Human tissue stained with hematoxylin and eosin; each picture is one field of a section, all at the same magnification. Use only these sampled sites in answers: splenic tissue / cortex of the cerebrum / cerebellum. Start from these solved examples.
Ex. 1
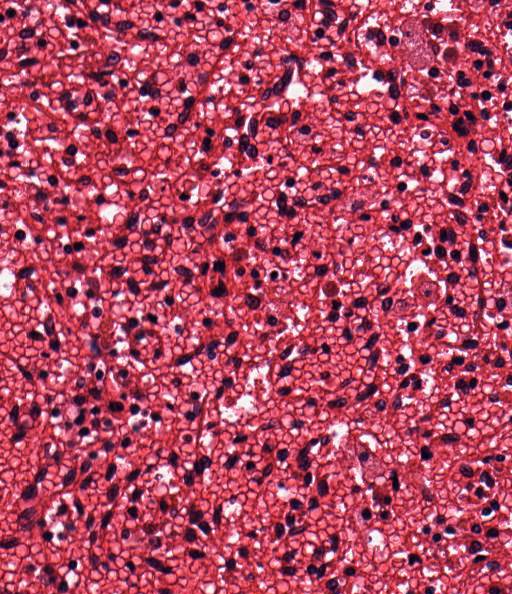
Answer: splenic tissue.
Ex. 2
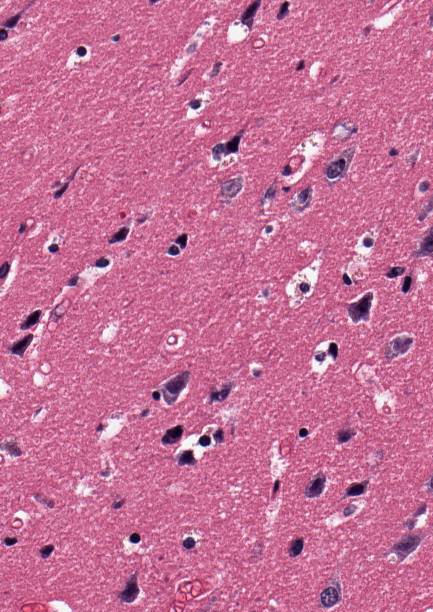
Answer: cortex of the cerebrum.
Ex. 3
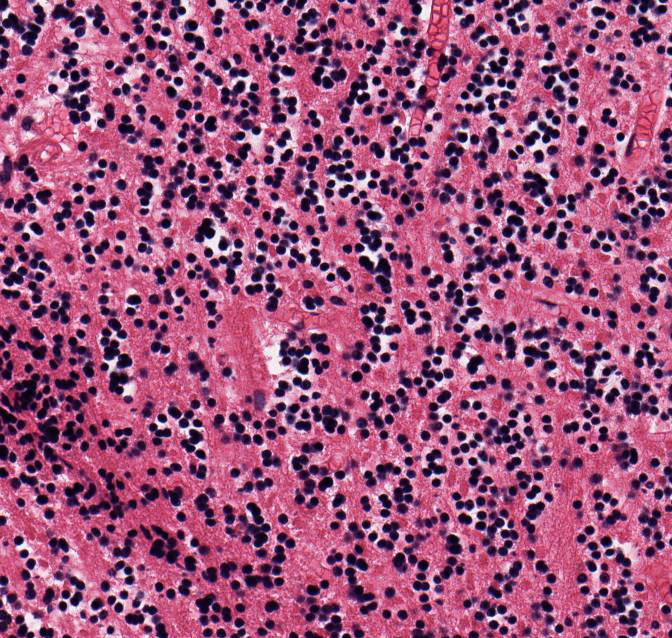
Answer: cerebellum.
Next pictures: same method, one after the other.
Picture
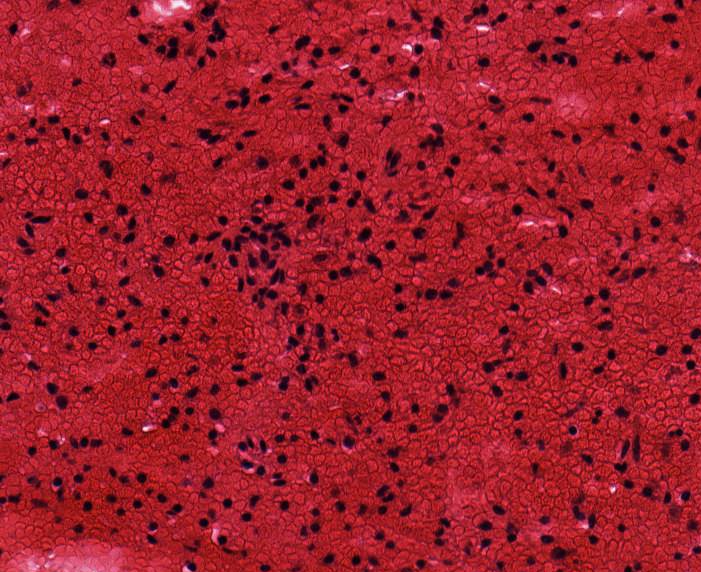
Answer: splenic tissue.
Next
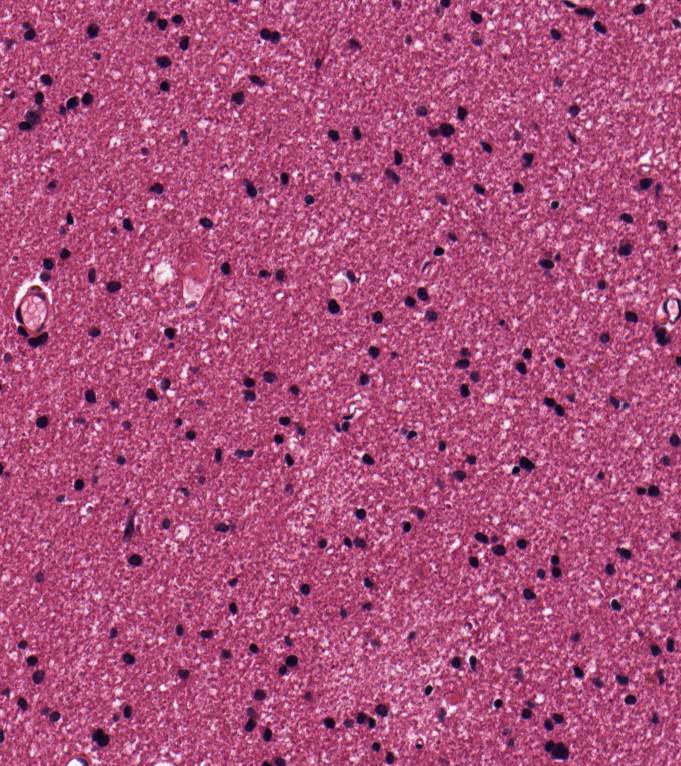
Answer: cortex of the cerebrum.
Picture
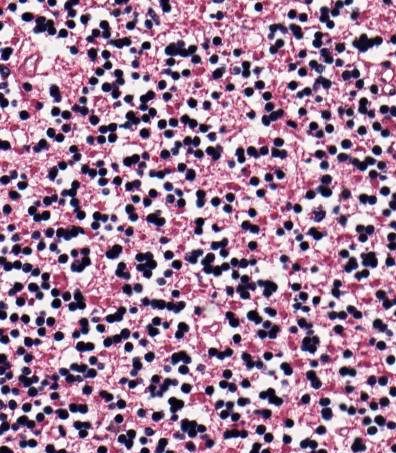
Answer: cerebellum.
